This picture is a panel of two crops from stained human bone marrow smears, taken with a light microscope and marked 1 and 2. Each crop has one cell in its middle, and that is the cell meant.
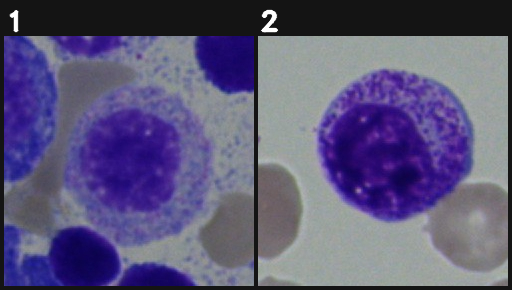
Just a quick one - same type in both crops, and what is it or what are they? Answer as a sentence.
Yes, both of the crops show myelocytes.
